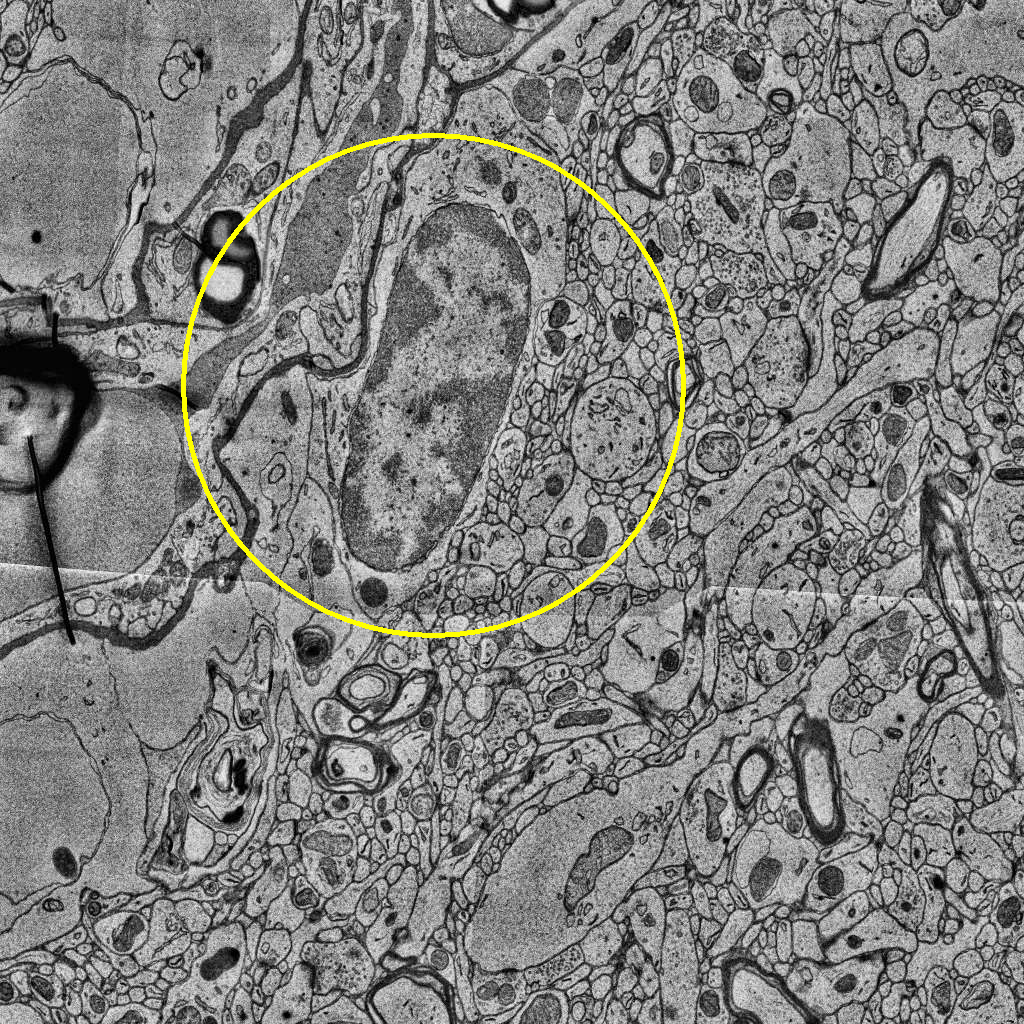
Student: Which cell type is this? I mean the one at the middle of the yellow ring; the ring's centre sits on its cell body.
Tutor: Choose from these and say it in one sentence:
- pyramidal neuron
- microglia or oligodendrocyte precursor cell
The cell at the ring's centre is a microglial cell or oligodendrocyte precursor cell.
